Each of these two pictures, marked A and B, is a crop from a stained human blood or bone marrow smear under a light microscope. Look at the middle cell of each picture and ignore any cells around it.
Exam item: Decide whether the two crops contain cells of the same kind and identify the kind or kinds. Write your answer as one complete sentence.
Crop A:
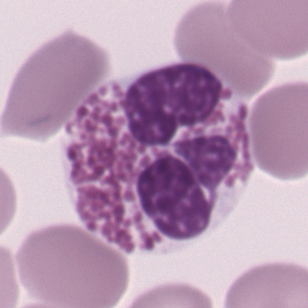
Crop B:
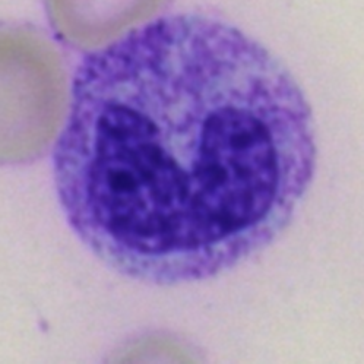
No, crop A is the one with an eosinophil; crop B has a band neutrophil.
